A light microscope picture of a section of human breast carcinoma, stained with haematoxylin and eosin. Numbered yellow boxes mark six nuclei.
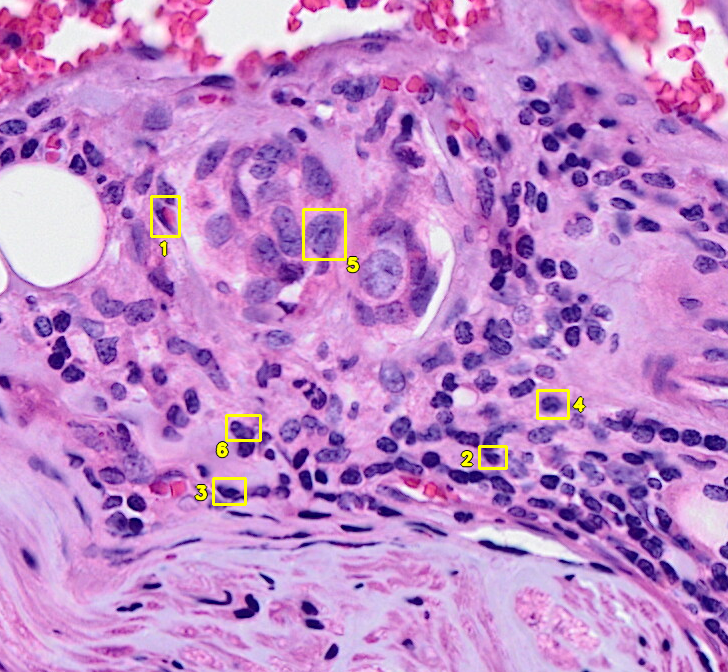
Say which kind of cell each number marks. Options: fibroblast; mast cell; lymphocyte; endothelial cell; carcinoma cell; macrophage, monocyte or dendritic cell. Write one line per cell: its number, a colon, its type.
1: endothelial cell
2: lymphocyte
3: lymphocyte
4: lymphocyte
5: carcinoma cell
6: lymphocyte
